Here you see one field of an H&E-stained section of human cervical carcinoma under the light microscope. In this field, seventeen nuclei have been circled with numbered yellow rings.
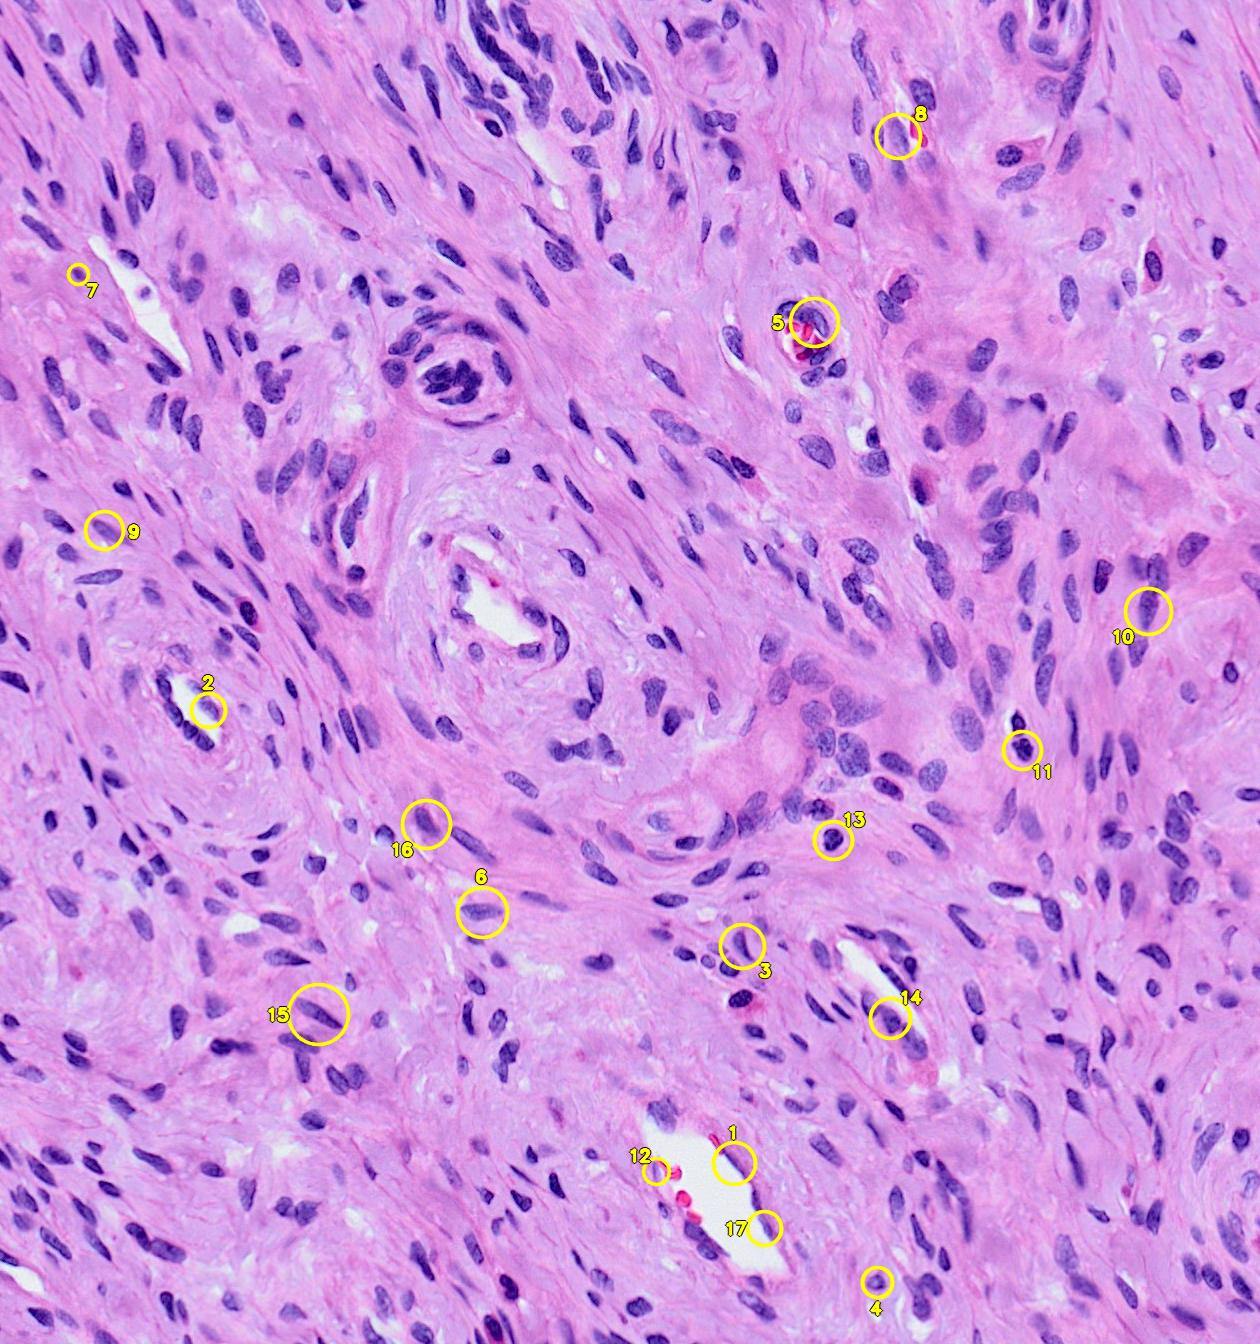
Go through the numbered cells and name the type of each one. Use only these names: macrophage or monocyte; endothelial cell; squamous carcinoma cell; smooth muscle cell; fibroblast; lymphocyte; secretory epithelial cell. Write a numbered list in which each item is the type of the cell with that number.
1. endothelial cell
2. endothelial cell
3. fibroblast
4. smooth muscle cell
5. endothelial cell
6. fibroblast
7. fibroblast
8. endothelial cell
9. fibroblast
10. fibroblast
11. lymphocyte
12. endothelial cell
13. lymphocyte
14. endothelial cell
15. fibroblast
16. fibroblast
17. endothelial cell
